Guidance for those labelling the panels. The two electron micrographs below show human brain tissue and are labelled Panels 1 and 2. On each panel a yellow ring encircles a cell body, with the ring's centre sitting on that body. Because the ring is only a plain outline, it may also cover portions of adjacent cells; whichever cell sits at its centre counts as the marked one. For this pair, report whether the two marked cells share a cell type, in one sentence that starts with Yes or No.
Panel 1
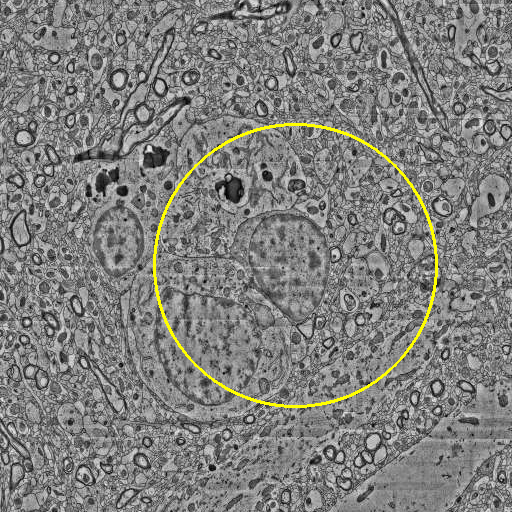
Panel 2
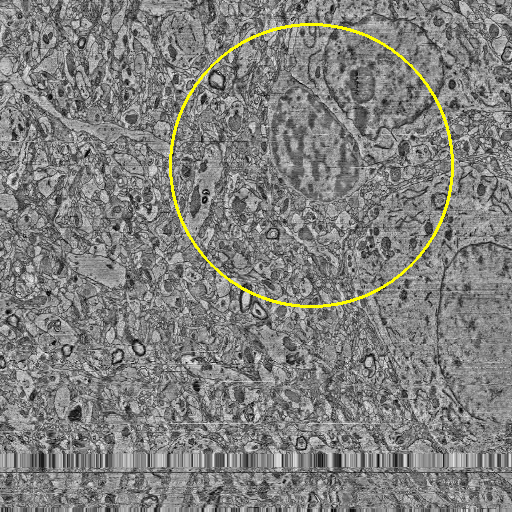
Yes, in Panel 1 and Panel 2 the marked cells at the ring centres share one type.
